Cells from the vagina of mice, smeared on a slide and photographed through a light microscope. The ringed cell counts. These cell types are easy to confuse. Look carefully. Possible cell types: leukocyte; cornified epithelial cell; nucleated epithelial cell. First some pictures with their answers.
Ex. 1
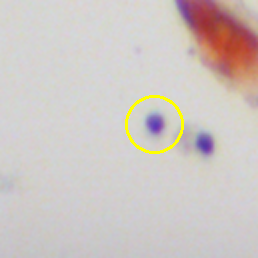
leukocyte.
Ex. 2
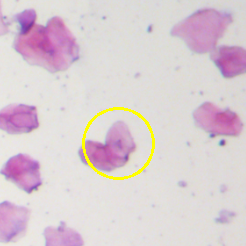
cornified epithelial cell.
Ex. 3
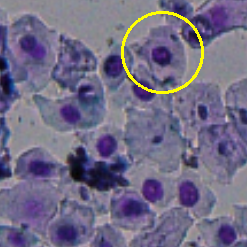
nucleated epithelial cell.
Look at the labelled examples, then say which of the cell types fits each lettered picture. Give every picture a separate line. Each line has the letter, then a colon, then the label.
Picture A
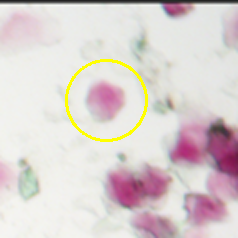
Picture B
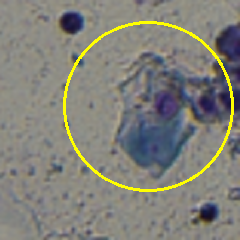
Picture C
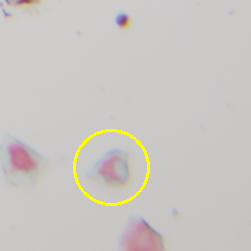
A: nucleated epithelial cell.
B: nucleated epithelial cell.
C: nucleated epithelial cell.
